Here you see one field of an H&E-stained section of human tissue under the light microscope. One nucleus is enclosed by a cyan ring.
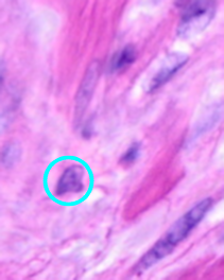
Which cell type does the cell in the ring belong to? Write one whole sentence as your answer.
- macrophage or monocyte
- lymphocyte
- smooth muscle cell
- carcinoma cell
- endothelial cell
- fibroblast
By its classification, the cell in the ring is a macrophage or monocyte.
